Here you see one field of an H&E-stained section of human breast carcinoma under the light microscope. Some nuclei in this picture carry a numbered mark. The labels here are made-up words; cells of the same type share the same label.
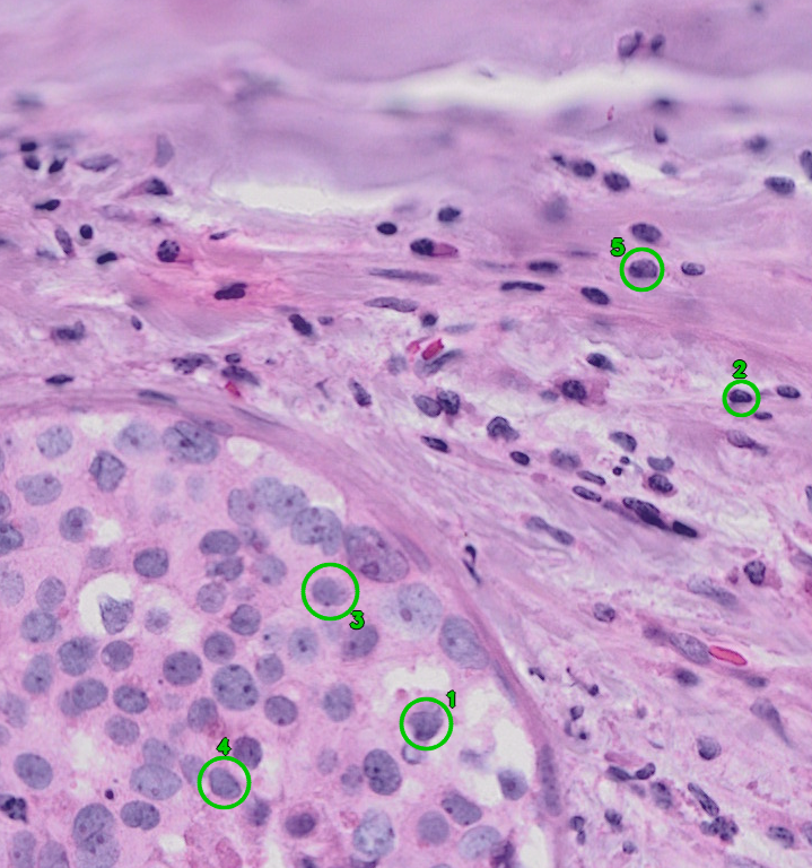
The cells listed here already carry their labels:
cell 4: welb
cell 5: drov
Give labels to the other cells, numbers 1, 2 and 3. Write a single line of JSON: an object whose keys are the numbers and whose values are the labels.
{"1": "welb", "2": "drov", "3": "welb"}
